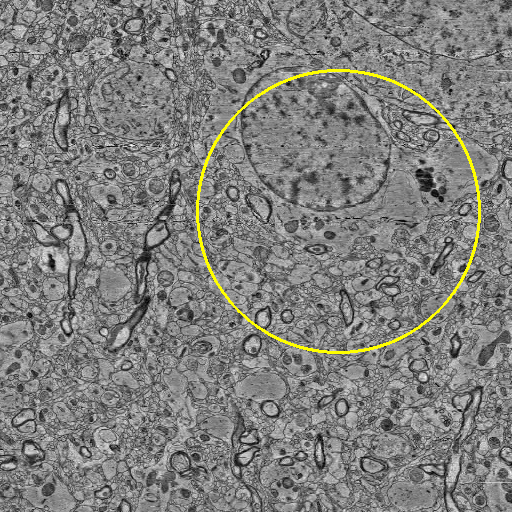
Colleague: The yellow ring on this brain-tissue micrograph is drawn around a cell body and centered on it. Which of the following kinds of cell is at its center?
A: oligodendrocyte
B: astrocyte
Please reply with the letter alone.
B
